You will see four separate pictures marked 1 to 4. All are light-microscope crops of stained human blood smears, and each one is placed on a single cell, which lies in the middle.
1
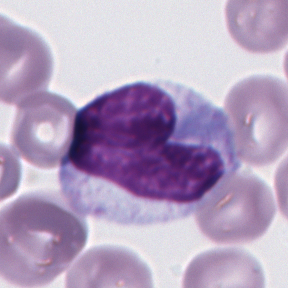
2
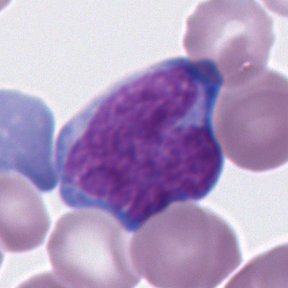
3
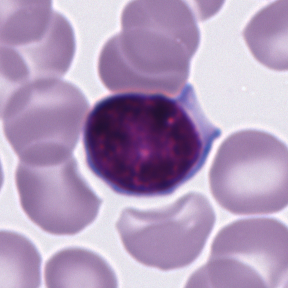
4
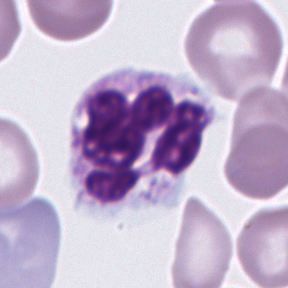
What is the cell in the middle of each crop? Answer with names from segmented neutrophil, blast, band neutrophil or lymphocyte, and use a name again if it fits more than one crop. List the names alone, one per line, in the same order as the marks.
band neutrophil
blast
lymphocyte
segmented neutrophil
